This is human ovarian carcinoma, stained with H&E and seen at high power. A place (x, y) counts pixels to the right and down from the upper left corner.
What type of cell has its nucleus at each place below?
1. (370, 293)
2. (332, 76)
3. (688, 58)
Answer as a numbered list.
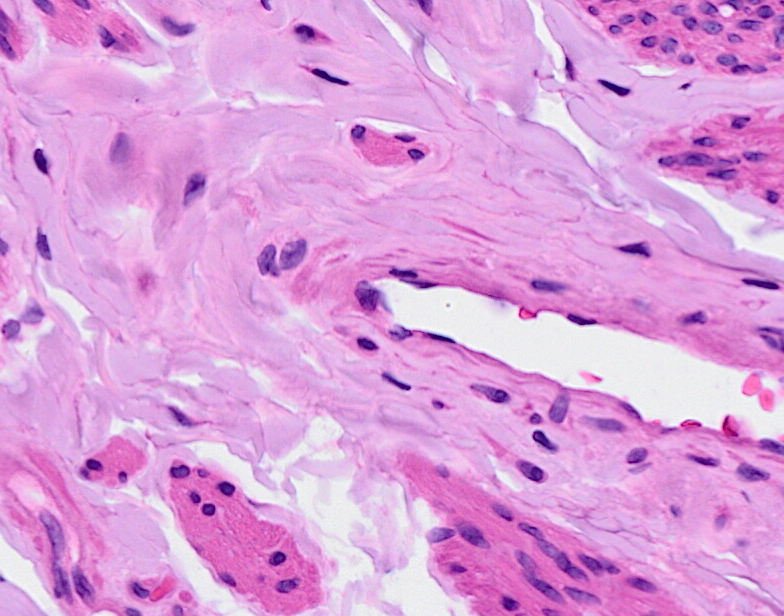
1. endothelial cell
2. fibroblast
3. smooth muscle cell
